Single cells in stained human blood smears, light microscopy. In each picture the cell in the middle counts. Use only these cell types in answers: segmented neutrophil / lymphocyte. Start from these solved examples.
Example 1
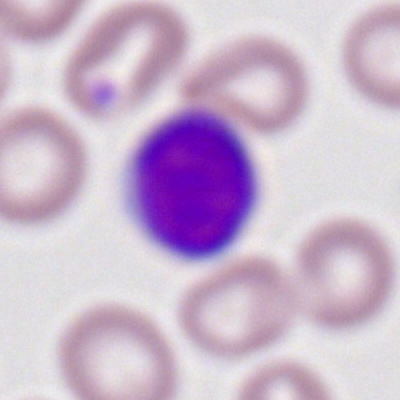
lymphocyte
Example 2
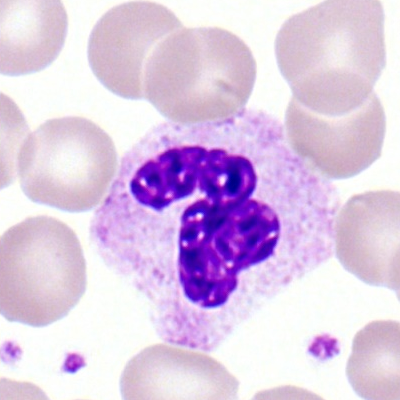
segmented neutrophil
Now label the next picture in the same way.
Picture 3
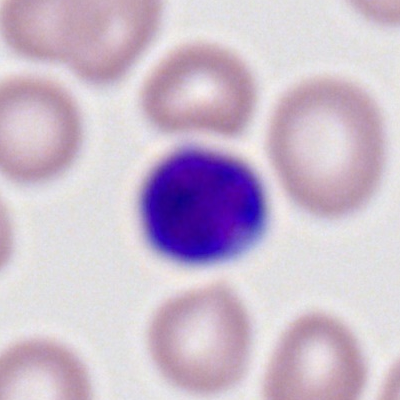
lymphocyte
